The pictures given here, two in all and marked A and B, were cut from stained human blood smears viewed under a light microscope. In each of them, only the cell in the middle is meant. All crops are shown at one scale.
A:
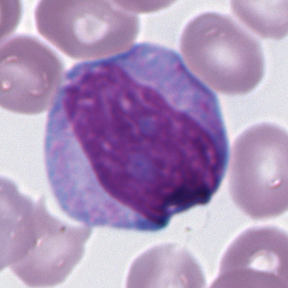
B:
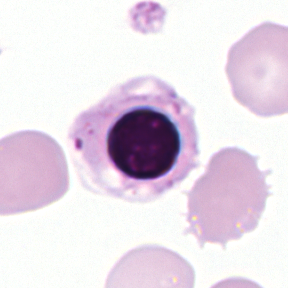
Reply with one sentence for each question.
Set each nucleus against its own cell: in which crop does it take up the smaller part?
Of the two, the nucleus in picture B leaves more room for cytoplasm.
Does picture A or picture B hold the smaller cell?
It is the cell in picture B; the cell in picture A has about 2.5 times its area.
